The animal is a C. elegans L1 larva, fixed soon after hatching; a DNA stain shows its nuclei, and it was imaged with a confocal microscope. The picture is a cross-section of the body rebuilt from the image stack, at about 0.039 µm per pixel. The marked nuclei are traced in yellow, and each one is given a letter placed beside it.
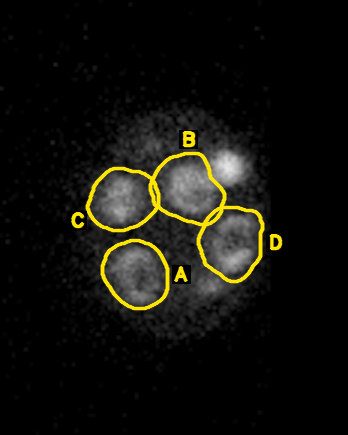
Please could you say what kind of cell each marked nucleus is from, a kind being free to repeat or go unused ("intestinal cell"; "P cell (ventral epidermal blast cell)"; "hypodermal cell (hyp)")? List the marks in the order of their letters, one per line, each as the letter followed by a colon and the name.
A: hypodermal cell (hyp)
B: intestinal cell
C: P cell (ventral epidermal blast cell)
D: hypodermal cell (hyp)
